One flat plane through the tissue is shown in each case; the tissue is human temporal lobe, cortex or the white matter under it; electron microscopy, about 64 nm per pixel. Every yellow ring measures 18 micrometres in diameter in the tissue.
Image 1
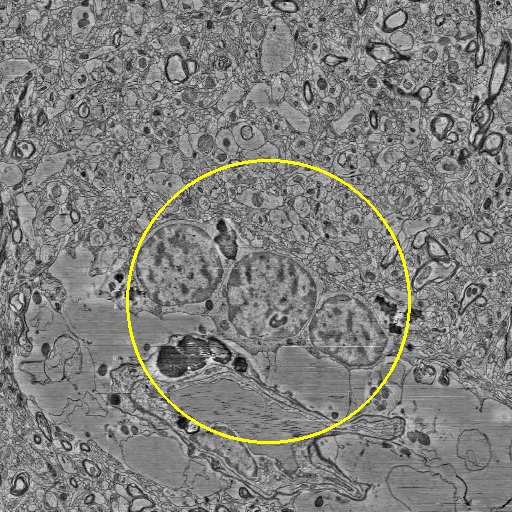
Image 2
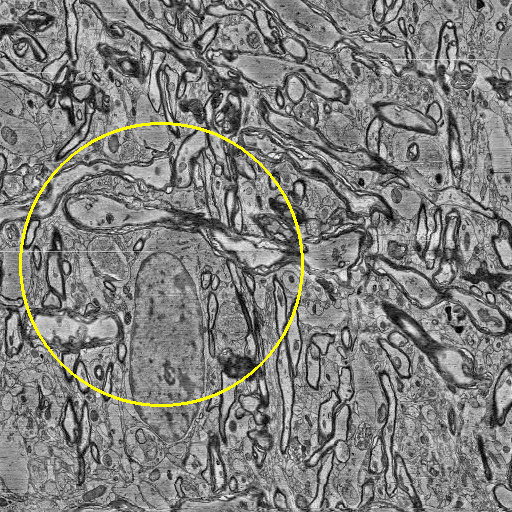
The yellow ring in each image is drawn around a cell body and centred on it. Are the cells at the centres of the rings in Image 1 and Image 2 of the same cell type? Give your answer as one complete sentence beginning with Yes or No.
No, the two cells are of two separate types.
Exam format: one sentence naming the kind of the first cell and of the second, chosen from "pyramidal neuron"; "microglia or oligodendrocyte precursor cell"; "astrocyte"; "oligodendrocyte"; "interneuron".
The first picture's cell is an oligodendrocyte, and the second picture's cell is a microglial cell or oligodendrocyte precursor cell.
